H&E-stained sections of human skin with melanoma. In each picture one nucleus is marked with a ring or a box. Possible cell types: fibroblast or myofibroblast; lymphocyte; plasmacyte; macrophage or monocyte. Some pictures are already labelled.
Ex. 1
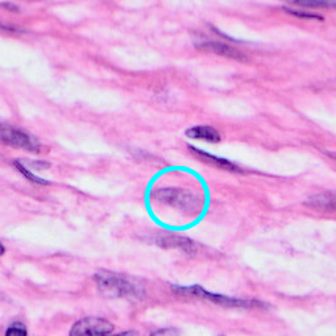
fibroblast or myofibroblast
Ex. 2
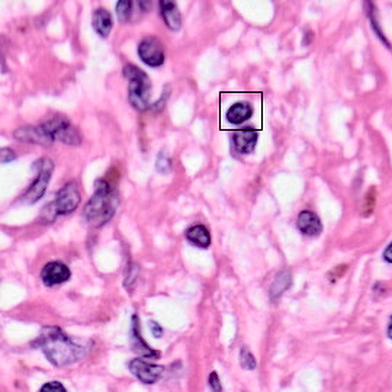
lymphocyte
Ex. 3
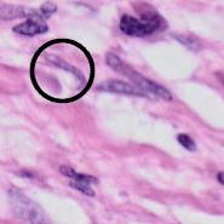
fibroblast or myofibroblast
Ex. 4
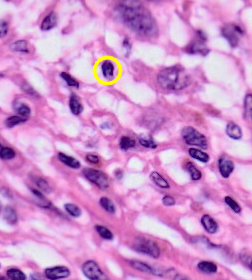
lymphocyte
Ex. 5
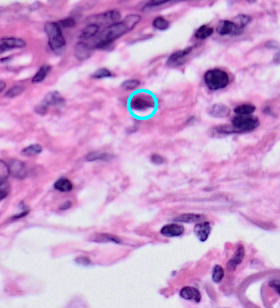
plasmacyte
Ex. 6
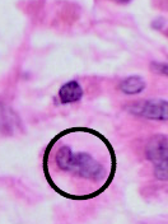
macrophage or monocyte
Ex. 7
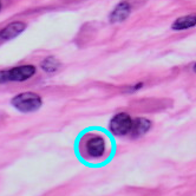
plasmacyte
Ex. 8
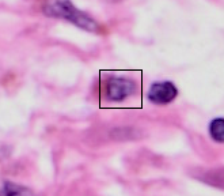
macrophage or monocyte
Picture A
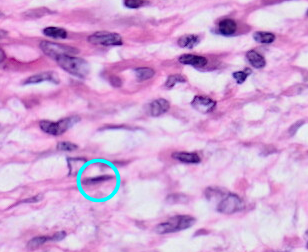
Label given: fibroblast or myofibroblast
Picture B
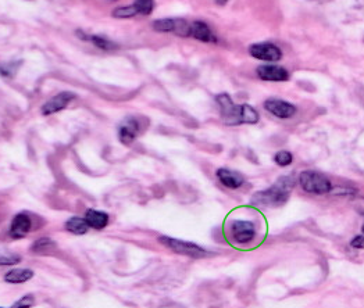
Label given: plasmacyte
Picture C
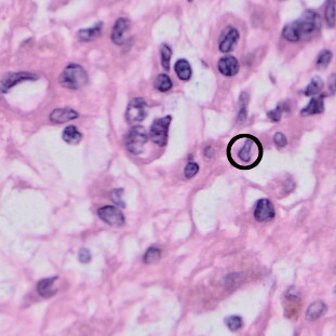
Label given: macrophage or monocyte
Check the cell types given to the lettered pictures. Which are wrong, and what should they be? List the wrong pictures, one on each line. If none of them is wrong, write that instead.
None of the labels needs changing.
